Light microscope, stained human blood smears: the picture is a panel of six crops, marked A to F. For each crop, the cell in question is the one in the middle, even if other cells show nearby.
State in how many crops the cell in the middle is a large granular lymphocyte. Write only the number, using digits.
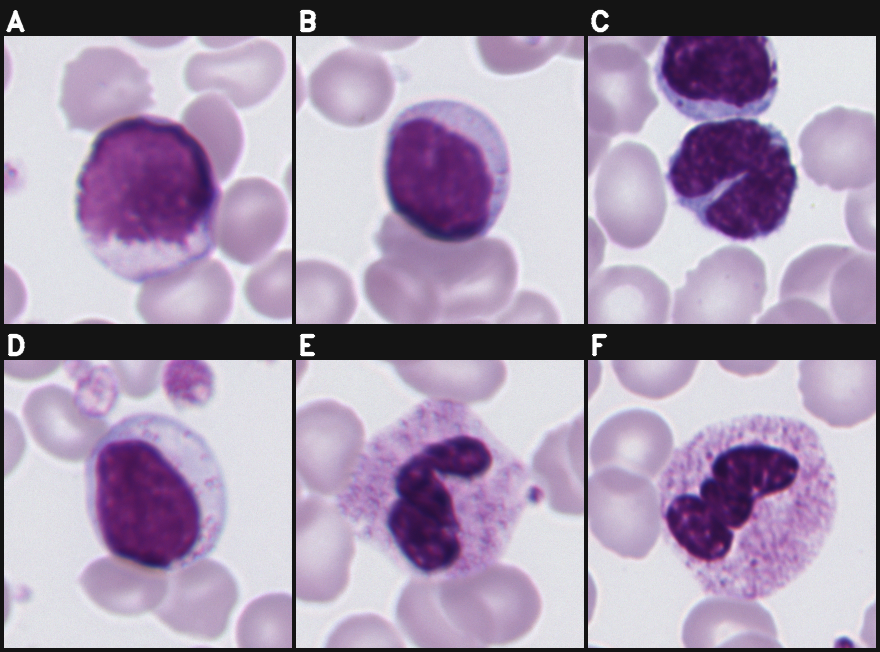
3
